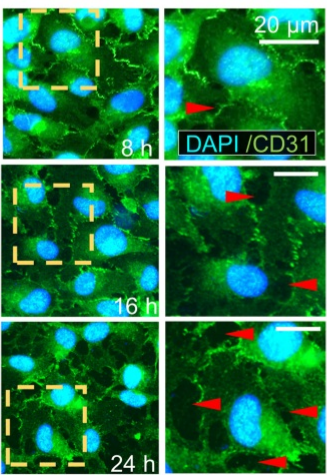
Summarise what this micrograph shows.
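A confluent monolayer of flat endothelial cells is shown at low magnification on the left and enlarged on the right. Each cell holds a single large oval nucleus stained blue, surrounded by faint green cytoplasm. Green lines run along the borders between neighbouring cells, outlining a polygonal, cobblestone-like pattern. In places these border lines are thin, interrupted or separated by small gaps, which the arrowheads point to.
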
